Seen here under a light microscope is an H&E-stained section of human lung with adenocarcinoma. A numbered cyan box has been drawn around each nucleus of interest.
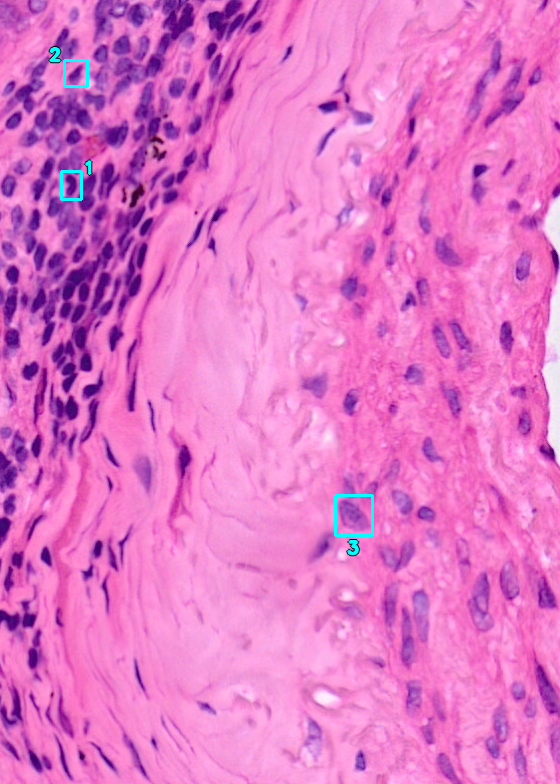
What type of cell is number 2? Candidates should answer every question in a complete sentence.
The nucleus marked 2 is the nucleus of a lymphocyte.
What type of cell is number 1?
Cell 1 is classified as a lymphocyte.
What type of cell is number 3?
Within this field of view, the cell labelled 3 is a smooth muscle cell or pericyte.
